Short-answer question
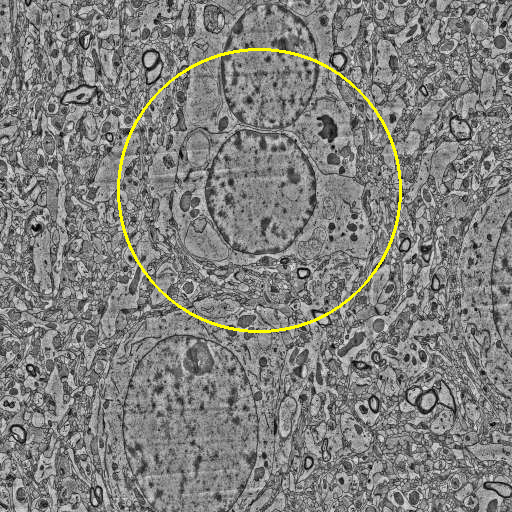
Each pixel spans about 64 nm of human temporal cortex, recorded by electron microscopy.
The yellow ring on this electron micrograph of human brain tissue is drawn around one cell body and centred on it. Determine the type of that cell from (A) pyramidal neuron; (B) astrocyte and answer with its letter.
B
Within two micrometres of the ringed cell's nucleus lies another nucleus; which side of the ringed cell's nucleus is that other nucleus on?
The other nucleus is located above it.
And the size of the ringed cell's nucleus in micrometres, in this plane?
The nucleus measures about 8 micrometers across in this plane.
